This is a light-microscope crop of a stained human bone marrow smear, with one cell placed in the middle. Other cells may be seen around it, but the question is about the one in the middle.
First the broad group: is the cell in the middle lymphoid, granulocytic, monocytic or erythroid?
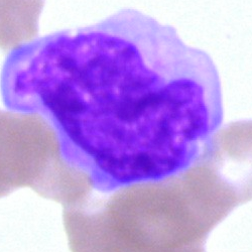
monocytic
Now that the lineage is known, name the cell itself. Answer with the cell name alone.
monocyte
